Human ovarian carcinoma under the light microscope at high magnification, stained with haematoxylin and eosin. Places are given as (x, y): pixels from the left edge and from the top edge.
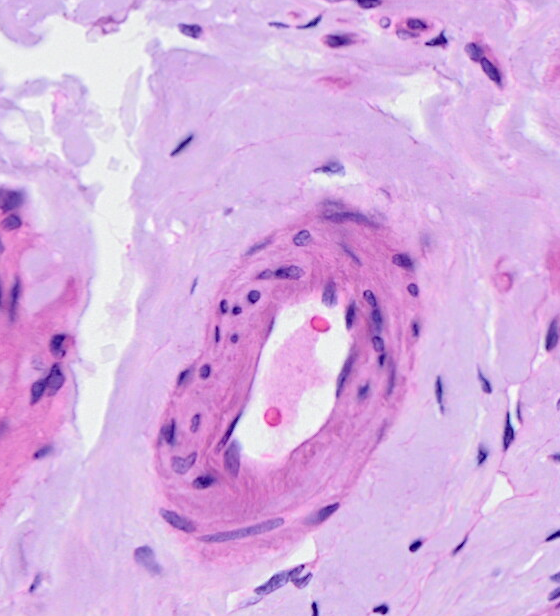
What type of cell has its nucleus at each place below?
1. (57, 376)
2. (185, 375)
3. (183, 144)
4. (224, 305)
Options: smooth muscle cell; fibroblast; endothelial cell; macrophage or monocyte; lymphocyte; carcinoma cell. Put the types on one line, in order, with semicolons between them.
smooth muscle cell; smooth muscle cell; fibroblast; smooth muscle cell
